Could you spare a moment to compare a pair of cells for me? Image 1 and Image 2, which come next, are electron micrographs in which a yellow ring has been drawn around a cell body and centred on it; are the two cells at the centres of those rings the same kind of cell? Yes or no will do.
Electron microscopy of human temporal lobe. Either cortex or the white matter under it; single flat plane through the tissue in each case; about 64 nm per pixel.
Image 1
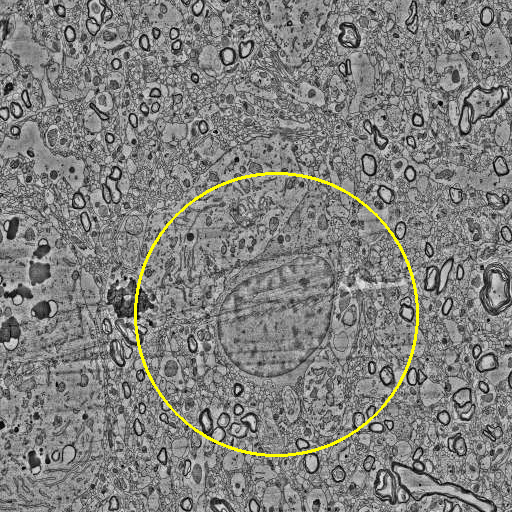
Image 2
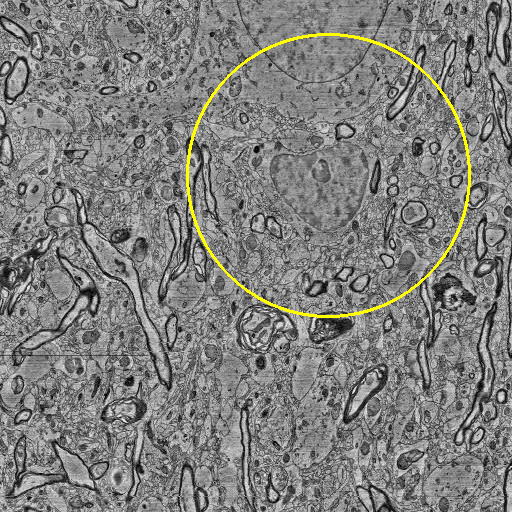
yes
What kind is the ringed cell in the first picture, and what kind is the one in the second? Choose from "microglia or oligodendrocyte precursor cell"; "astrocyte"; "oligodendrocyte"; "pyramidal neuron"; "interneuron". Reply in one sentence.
Each of the two pictures has an oligodendrocyte at the ring centre.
